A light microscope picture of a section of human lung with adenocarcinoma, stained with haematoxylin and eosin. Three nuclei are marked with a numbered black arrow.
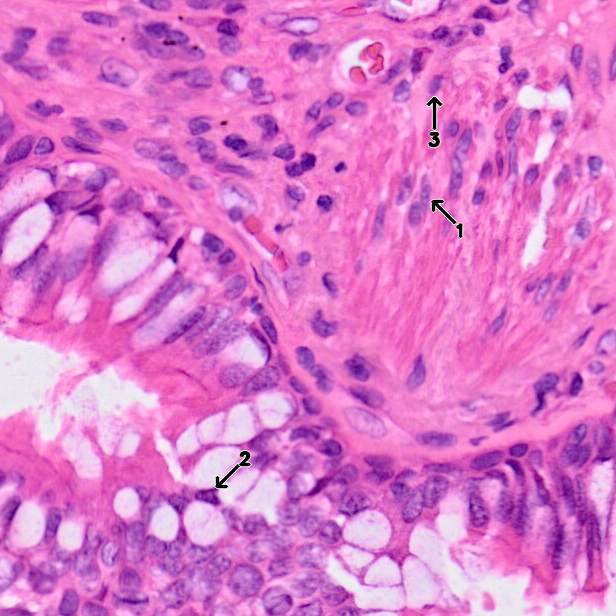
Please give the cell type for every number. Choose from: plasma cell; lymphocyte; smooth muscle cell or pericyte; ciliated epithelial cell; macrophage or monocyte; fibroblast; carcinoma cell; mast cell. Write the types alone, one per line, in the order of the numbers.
smooth muscle cell or pericyte
ciliated epithelial cell
smooth muscle cell or pericyte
